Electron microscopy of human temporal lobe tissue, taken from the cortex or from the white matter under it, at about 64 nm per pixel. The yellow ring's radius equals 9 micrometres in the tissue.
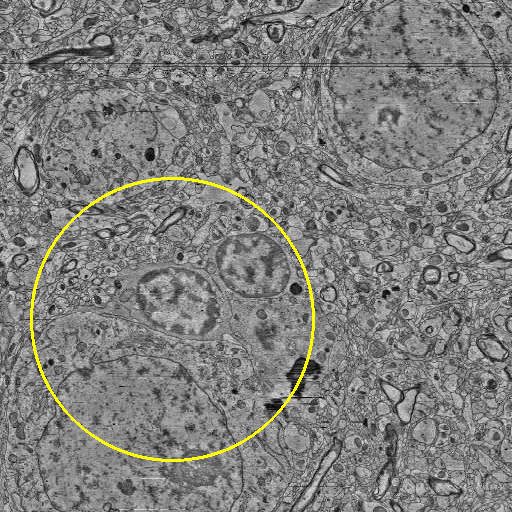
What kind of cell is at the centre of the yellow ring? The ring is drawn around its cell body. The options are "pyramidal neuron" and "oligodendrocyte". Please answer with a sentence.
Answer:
The yellow ring marks the cell body of an oligodendrocyte.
